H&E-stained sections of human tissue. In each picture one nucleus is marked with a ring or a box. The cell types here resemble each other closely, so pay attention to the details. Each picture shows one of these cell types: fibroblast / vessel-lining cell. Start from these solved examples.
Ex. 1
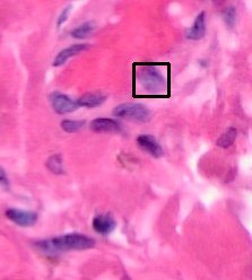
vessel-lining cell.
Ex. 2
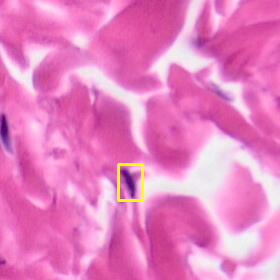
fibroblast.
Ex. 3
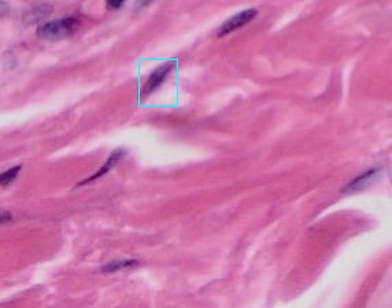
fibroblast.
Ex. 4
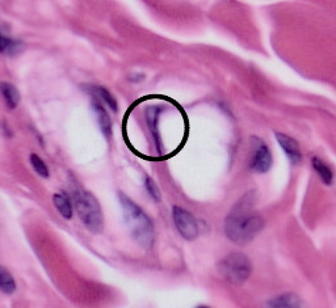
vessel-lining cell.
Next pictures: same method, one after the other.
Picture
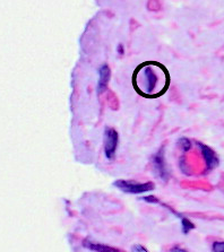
fibroblast.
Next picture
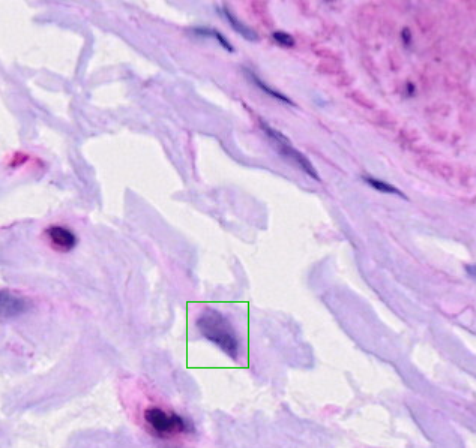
fibroblast.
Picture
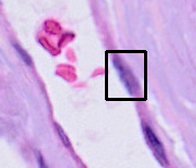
vessel-lining cell.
